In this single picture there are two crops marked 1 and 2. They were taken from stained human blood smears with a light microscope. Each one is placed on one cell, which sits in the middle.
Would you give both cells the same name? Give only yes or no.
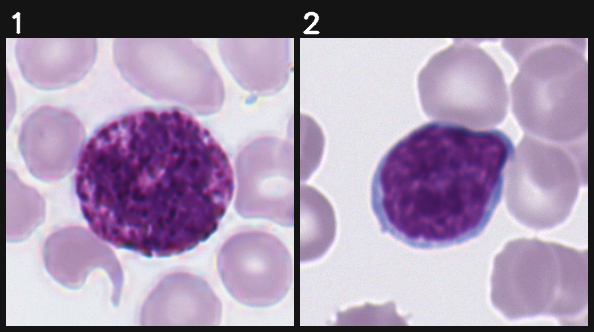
no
